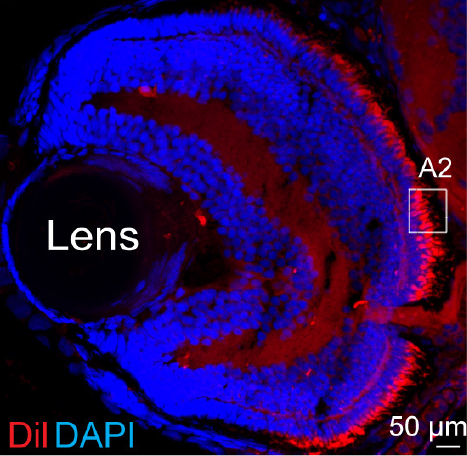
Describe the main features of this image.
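A cross-section through the eye shows the retina curving around the dark round lens, with blue nuclei packed into distinct bands. At the outer edge of the retina, farthest from the lens, a thin row of small red elongated profiles forms a fringe just beyond the outermost blue nuclei. This fringe is the photoreceptor outer segments, lying at the outside of the photoreceptor layer.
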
